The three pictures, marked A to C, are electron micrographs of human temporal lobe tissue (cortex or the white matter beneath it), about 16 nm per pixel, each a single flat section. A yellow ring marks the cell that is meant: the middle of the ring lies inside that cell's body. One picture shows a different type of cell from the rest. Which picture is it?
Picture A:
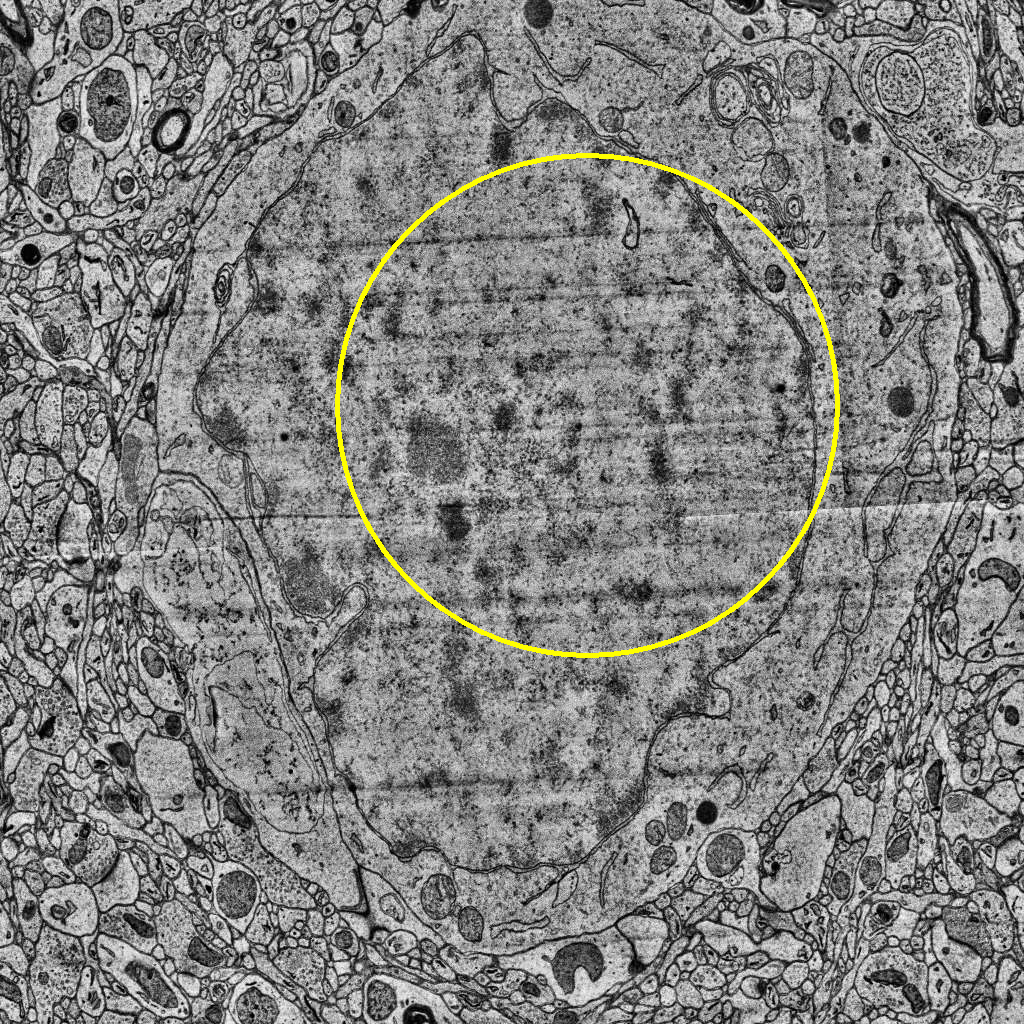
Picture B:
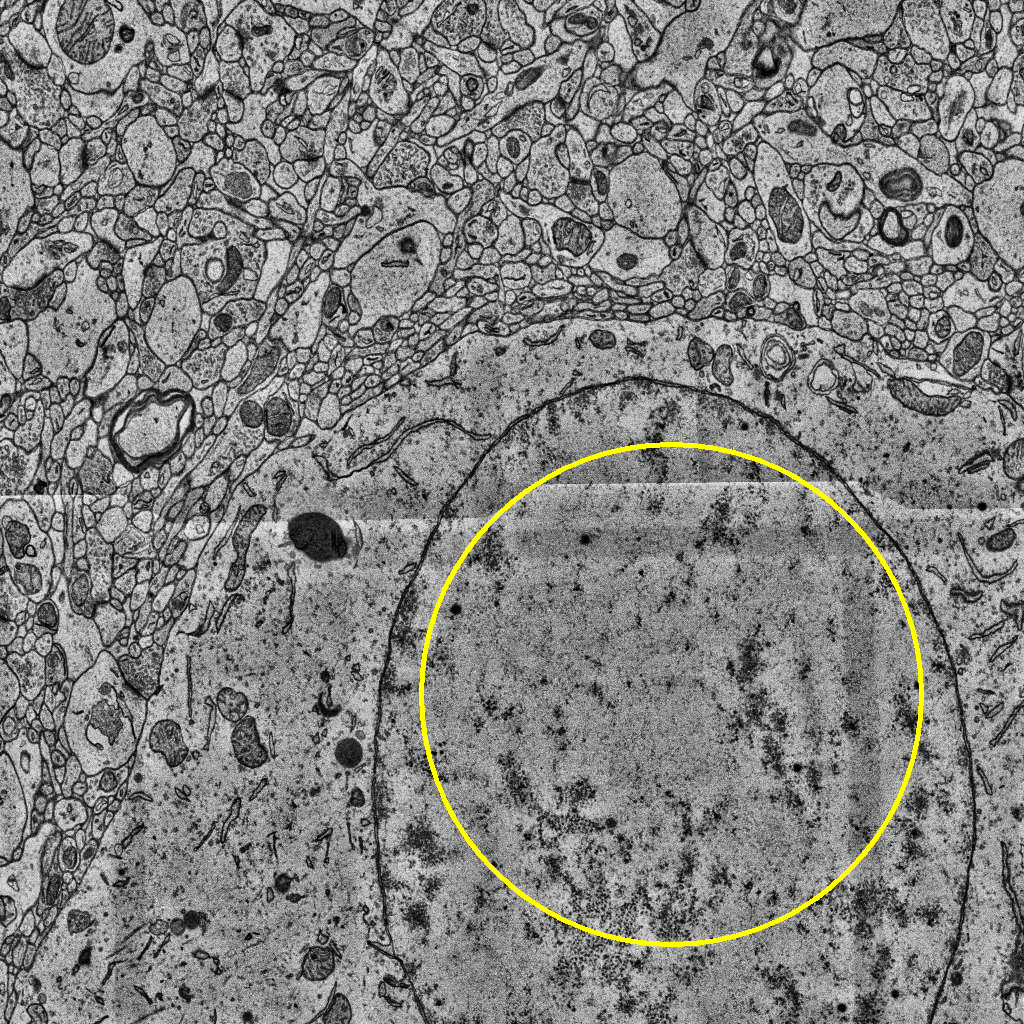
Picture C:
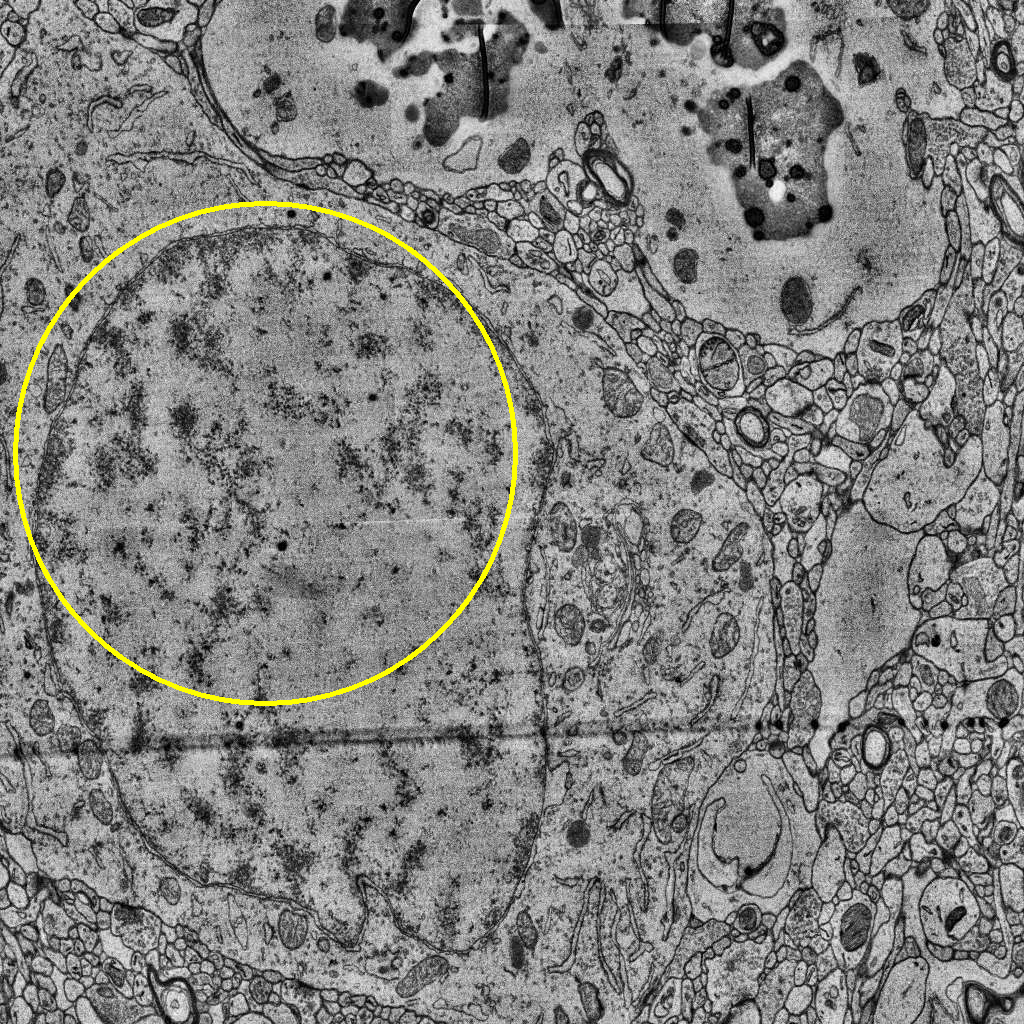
Unlike the rest, which show interneurons, picture B shows a pyramidal neuron.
